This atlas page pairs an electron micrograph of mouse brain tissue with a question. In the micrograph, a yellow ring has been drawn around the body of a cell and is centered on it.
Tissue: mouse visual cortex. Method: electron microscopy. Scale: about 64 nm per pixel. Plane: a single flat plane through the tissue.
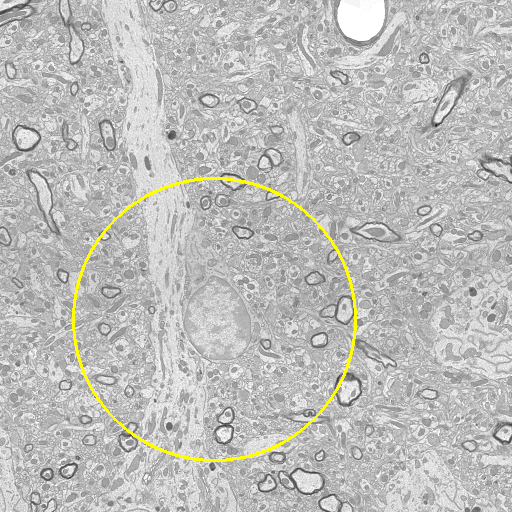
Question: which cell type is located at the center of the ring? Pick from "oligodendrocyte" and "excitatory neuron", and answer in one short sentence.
Located at the center of the ring is an oligodendrocyte.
